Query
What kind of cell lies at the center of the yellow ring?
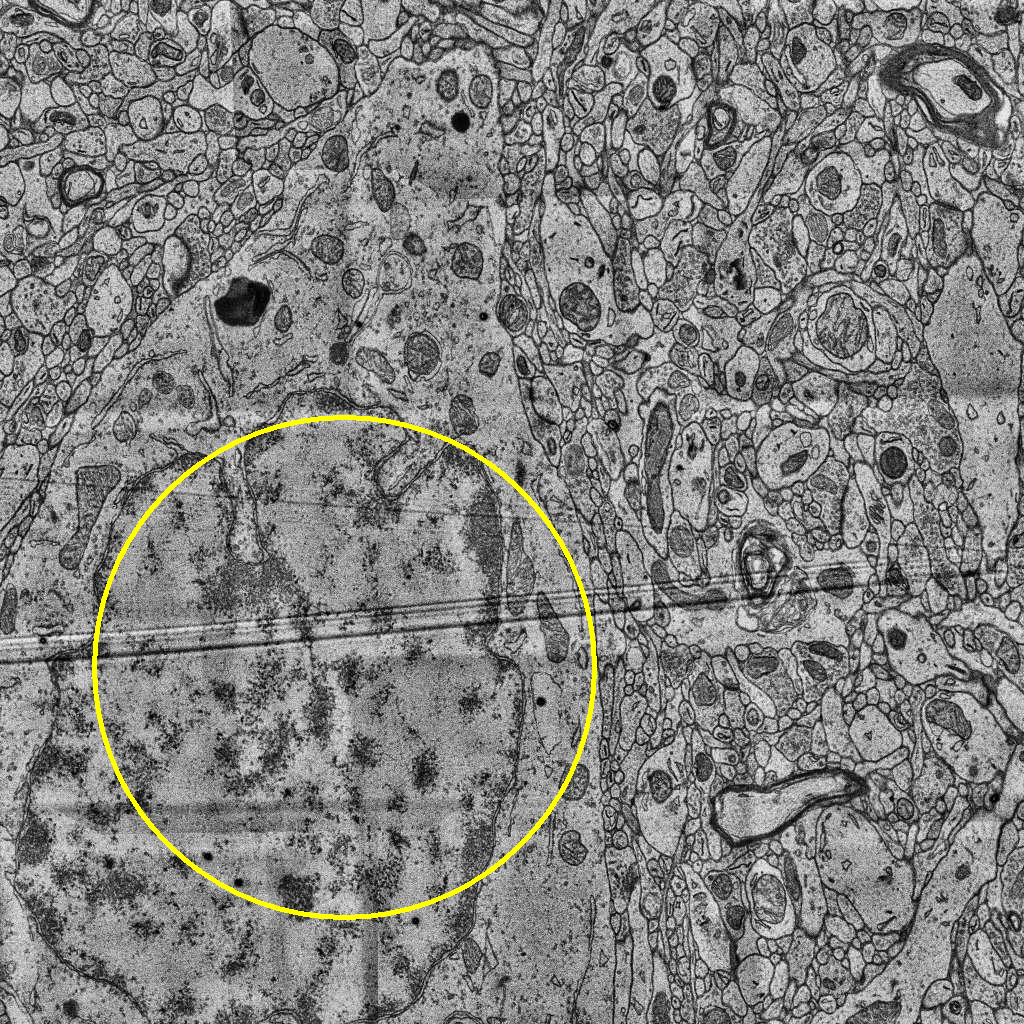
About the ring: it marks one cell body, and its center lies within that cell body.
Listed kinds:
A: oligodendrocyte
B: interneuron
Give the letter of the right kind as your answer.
B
